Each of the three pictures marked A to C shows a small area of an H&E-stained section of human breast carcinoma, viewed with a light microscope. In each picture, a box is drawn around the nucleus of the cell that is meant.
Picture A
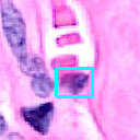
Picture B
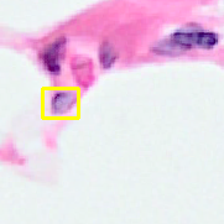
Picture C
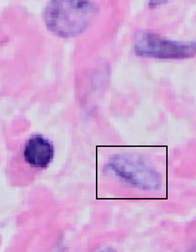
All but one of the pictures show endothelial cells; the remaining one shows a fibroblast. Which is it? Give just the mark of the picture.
C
